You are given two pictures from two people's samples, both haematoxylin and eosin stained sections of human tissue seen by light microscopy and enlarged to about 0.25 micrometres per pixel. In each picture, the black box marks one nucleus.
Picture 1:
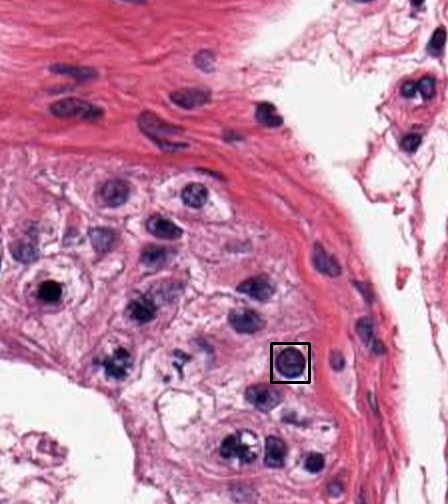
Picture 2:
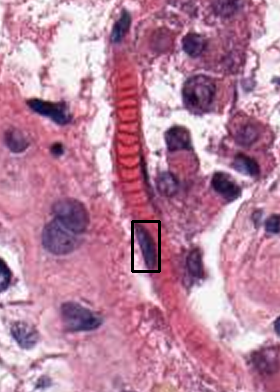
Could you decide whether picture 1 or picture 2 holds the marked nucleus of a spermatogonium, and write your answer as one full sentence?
In picture 1, the mark falls on the nucleus of a spermatogonium.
